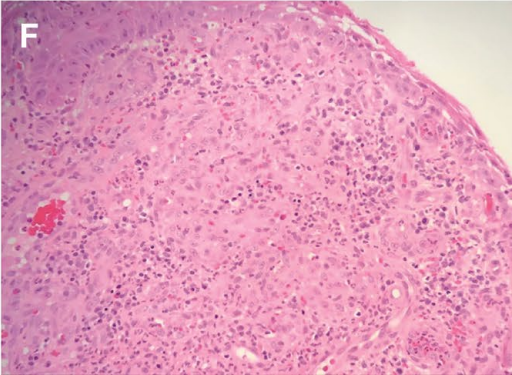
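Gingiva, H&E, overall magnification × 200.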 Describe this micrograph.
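At the upper right only a thin, attenuated rim of epithelium covers the tissue. Beneath it the stroma is very cellular. Many small dark round inflammatory cells lie scattered between the vessels. Together these give a granulation-tissue-like appearance.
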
